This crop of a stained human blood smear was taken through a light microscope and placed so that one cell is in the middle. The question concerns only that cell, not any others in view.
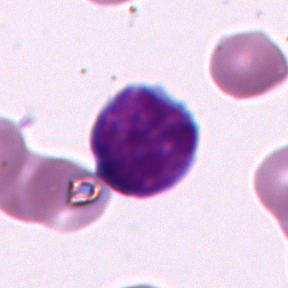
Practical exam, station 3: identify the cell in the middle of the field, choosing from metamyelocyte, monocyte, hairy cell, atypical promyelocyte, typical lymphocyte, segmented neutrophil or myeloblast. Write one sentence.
The crop shows a typical lymphocyte in its centre.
